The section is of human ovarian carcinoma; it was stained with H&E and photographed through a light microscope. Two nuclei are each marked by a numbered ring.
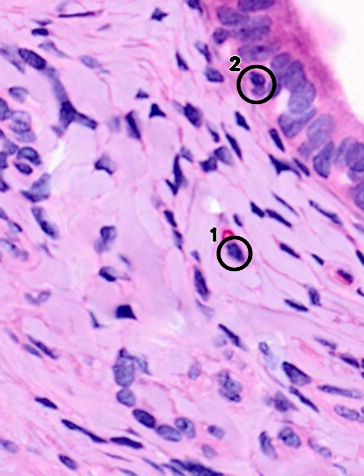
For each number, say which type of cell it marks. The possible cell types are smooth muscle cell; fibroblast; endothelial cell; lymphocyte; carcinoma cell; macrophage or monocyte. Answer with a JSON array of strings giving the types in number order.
["endothelial cell", "lymphocyte"]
